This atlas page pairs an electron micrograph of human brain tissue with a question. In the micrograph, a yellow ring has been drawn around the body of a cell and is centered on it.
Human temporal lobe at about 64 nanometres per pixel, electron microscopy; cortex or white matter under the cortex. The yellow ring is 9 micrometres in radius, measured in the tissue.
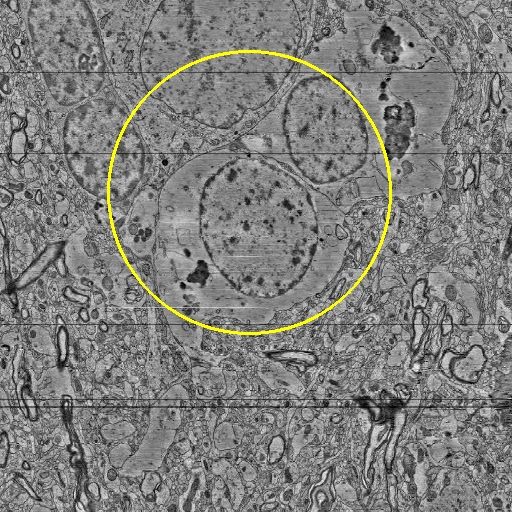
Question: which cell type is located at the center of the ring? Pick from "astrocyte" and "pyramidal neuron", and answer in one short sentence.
Located at the center of the ring is an astrocyte.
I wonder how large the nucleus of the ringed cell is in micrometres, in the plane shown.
In this plane the nucleus measures roughly 10 by 8 micrometres.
